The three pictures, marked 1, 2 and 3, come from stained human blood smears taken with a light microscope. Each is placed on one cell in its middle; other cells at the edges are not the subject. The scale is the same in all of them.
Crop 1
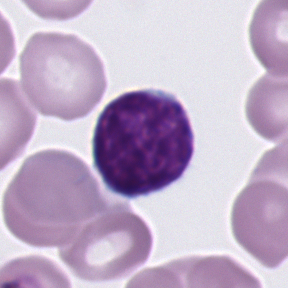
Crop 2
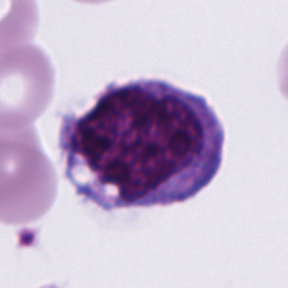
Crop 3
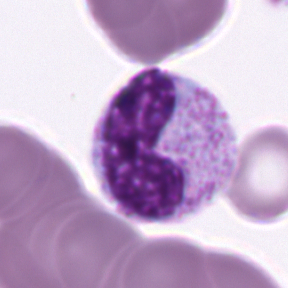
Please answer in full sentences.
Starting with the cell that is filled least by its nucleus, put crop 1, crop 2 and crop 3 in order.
They run 3, 2, 1, the least filled first.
